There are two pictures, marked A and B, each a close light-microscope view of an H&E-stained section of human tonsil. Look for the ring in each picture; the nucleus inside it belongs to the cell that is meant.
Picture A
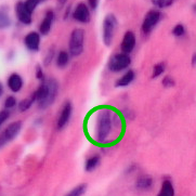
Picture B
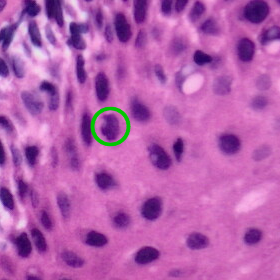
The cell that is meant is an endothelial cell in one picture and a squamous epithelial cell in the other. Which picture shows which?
A: endothelial cell
B: squamous epithelial cell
